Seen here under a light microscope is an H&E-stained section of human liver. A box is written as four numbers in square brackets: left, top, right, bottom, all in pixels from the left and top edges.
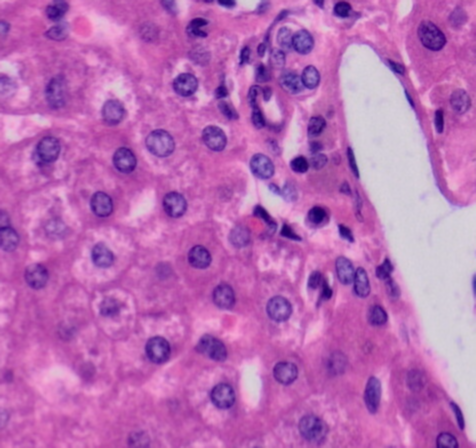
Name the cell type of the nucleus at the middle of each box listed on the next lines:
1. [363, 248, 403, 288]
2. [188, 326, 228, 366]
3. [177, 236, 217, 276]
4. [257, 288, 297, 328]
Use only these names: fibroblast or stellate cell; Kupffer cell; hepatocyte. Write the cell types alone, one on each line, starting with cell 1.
fibroblast or stellate cell
Kupffer cell
hepatocyte
hepatocyte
